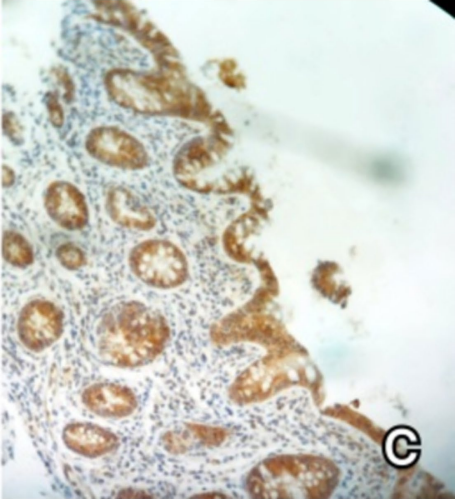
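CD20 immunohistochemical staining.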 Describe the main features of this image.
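This is colonic mucosa with its surface epithelium running along one edge. Crypts lie beneath it, cut round and obliquely. The epithelium of the surface and of the crypts takes a brown stain, with a clearer mucin-filled cytoplasm in the crypt cells. The lamina propria between the crypts holds many small cells with blue, round nuclei. The surface is folded, and a few detached fragments of epithelium lie beside it.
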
